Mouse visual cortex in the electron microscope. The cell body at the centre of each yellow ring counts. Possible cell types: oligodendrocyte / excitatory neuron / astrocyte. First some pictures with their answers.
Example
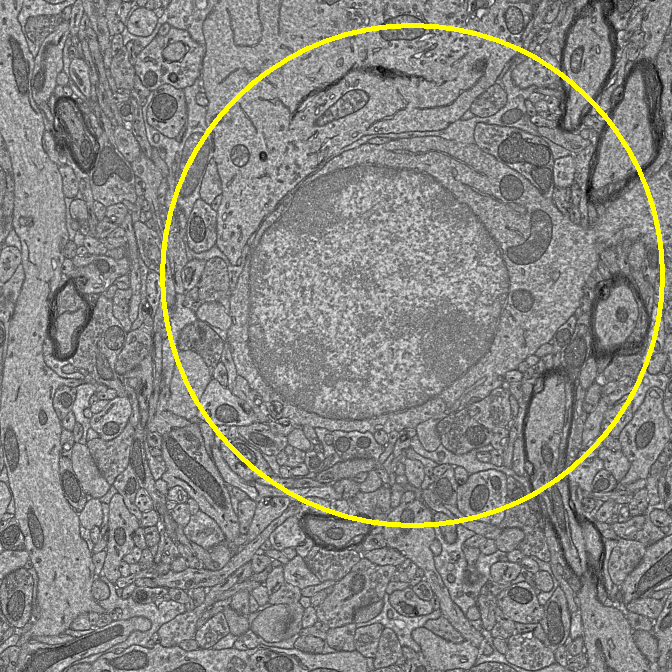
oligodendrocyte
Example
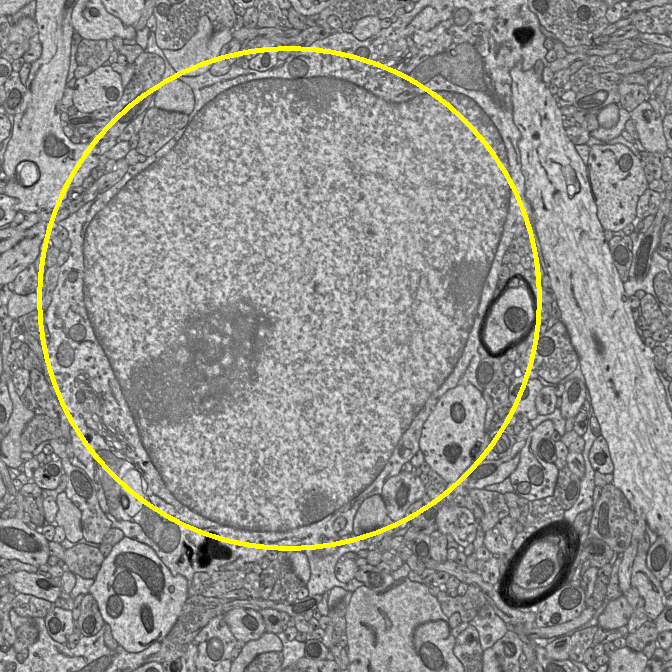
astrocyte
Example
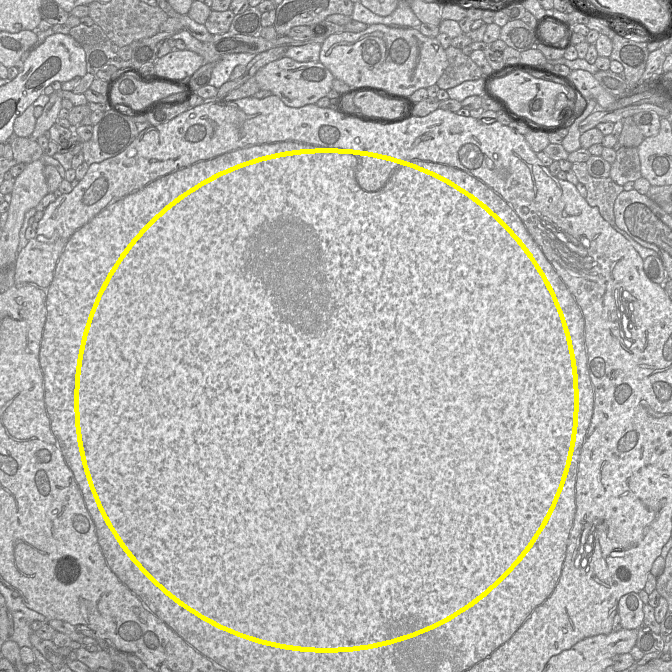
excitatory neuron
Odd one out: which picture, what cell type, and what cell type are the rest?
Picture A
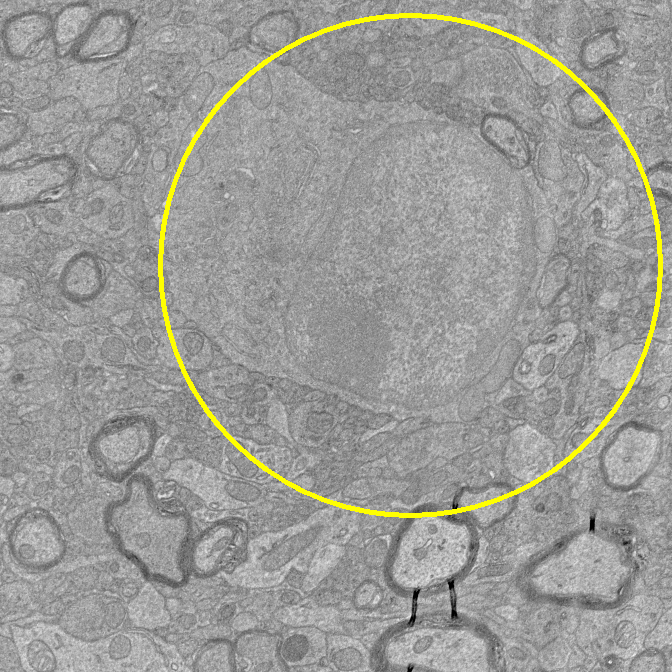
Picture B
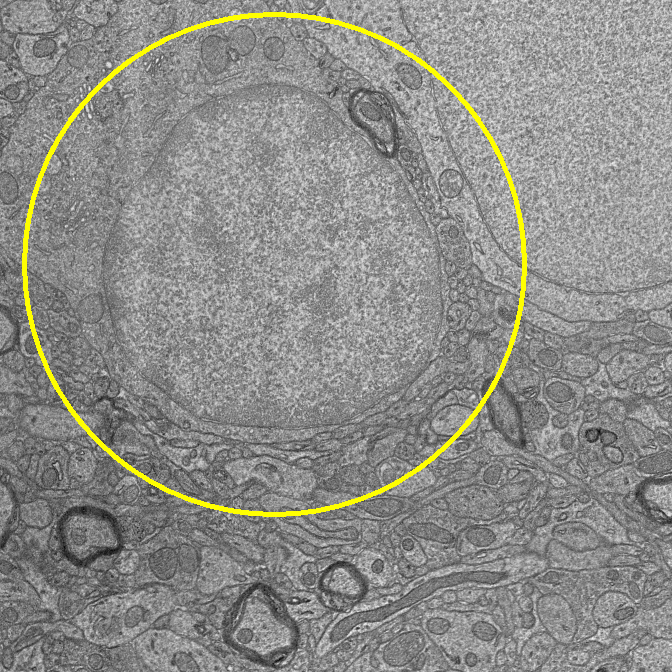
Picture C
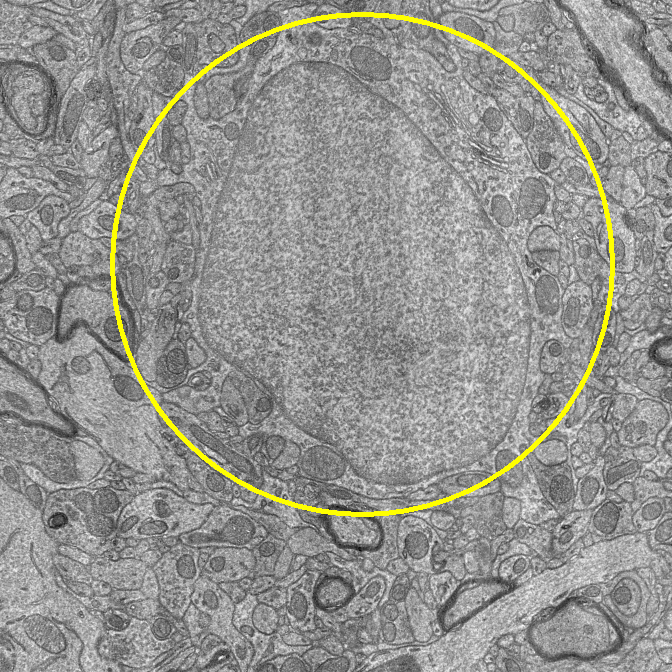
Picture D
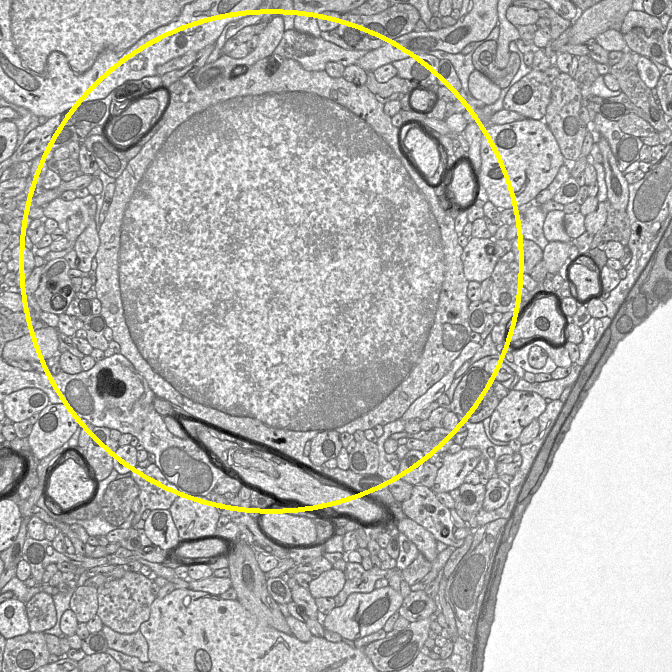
Odd one out: C (astrocyte). The rest: oligodendrocyte.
